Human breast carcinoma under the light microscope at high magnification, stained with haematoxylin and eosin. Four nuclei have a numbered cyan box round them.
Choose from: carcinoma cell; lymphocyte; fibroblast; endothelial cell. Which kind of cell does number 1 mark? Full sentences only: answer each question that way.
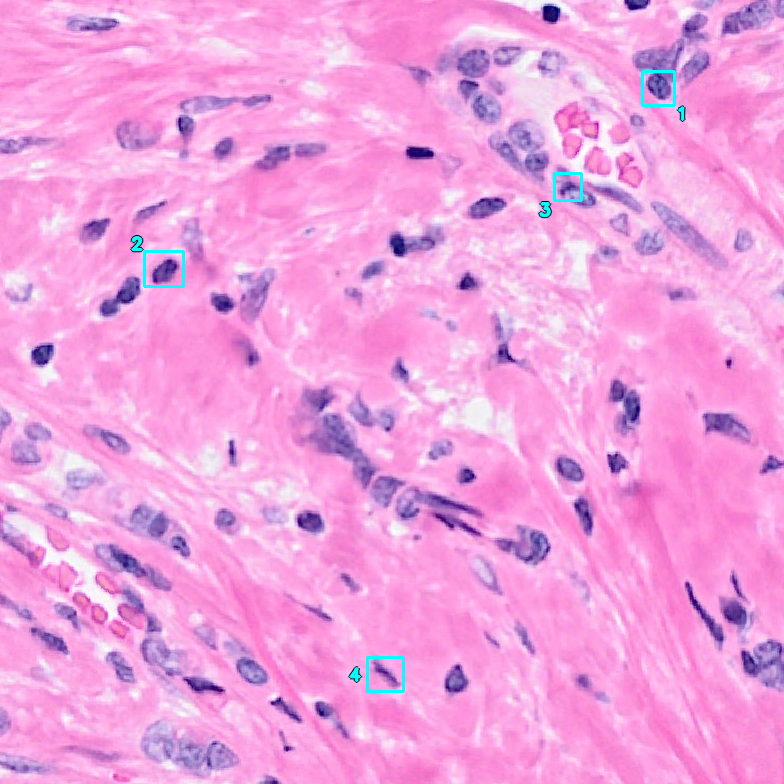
The cell indicated by marker 1 is a lymphocyte in this section.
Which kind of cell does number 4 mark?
Looking at the numbered marks, cell 4 is a fibroblast.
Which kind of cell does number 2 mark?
The correct answer for cell 2 is a lymphocyte.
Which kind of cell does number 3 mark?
The cell identified by the number 3 is an endothelial cell.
